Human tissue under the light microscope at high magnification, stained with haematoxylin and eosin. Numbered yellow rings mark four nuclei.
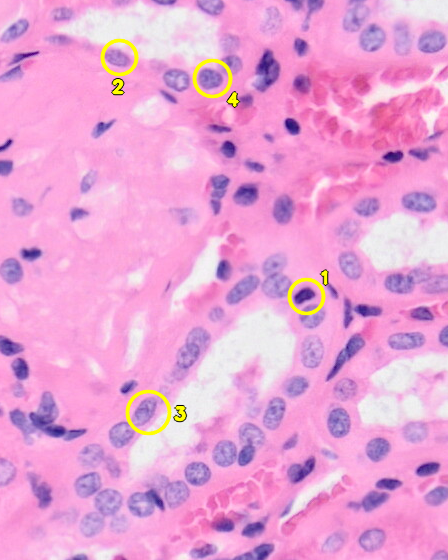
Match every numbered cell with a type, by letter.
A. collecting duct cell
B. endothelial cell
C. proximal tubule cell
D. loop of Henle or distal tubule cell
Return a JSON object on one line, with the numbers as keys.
{"1": "A", "2": "D", "3": "A", "4": "D"}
